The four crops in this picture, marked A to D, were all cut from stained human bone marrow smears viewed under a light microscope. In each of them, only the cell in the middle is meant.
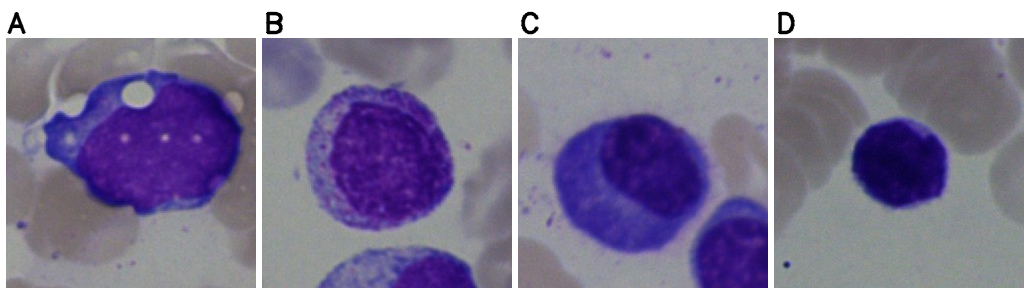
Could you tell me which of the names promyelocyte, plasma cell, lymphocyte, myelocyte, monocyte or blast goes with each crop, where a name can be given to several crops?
A: blast
B: myelocyte
C: plasma cell
D: lymphocyte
